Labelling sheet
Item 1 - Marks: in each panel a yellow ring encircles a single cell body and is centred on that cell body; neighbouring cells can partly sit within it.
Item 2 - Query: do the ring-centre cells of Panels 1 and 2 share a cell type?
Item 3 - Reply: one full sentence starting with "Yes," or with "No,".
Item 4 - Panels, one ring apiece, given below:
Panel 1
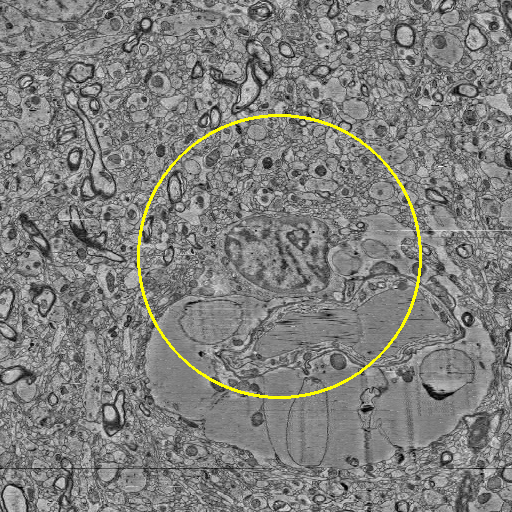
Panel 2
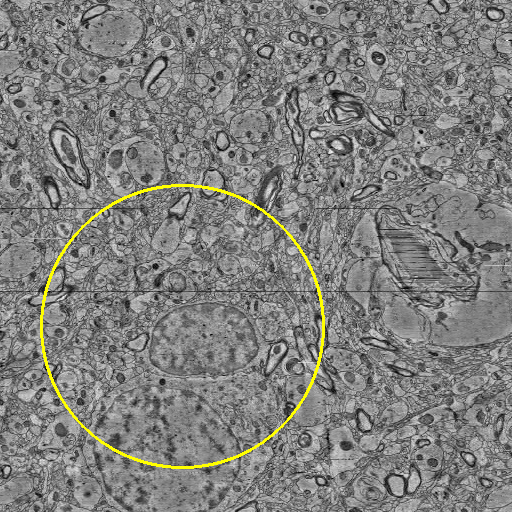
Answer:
Yes, Panel 1 and Panel 2 show one cell type at the centres of their rings.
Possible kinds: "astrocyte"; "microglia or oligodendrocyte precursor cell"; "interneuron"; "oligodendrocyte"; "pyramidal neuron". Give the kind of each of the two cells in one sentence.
Each of the two rings surrounds an oligodendrocyte.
